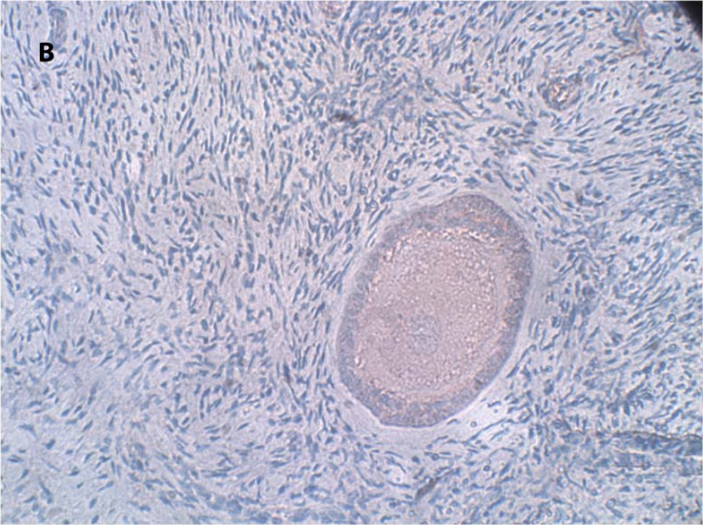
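Ovarian cortex with a secondary follicle set in a dense stroma of spindle-shaped cells with elongated blue nuclei running in whorls. The stroma around the follicle is compressed into a thin concentric layer.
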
